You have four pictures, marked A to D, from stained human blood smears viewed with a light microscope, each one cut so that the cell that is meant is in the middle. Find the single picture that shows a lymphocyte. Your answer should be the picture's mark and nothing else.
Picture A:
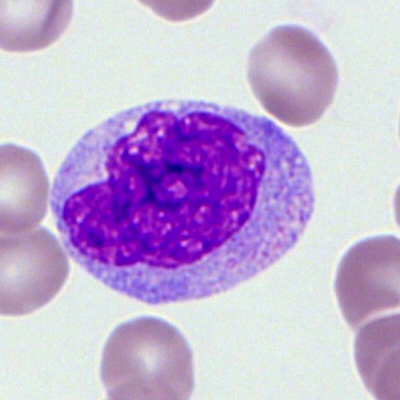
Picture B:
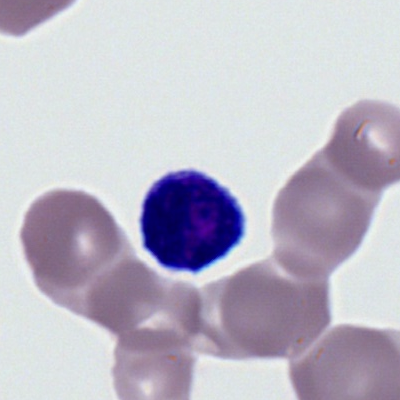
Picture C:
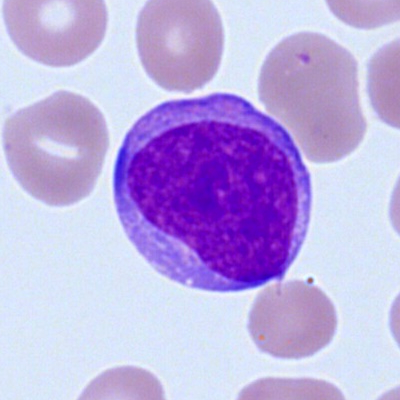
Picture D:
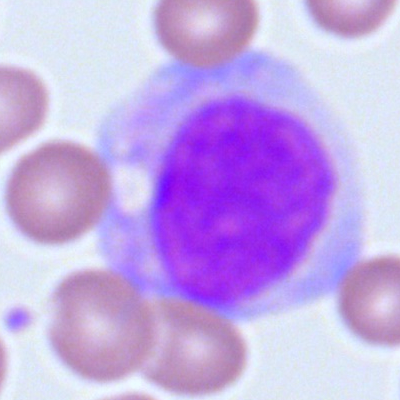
B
